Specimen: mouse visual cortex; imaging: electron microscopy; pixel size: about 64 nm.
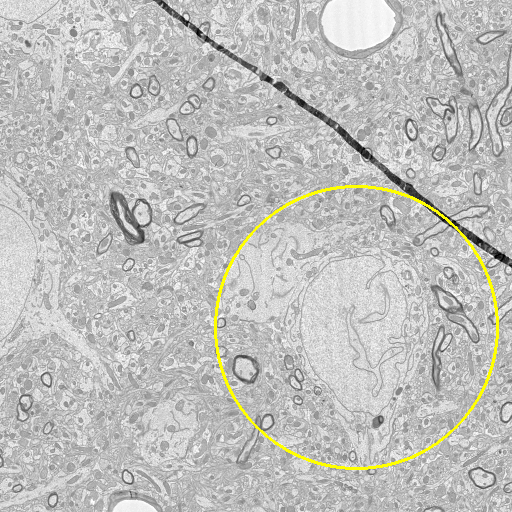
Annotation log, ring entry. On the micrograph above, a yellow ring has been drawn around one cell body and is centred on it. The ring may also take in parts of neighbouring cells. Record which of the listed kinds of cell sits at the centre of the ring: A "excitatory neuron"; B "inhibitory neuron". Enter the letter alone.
B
